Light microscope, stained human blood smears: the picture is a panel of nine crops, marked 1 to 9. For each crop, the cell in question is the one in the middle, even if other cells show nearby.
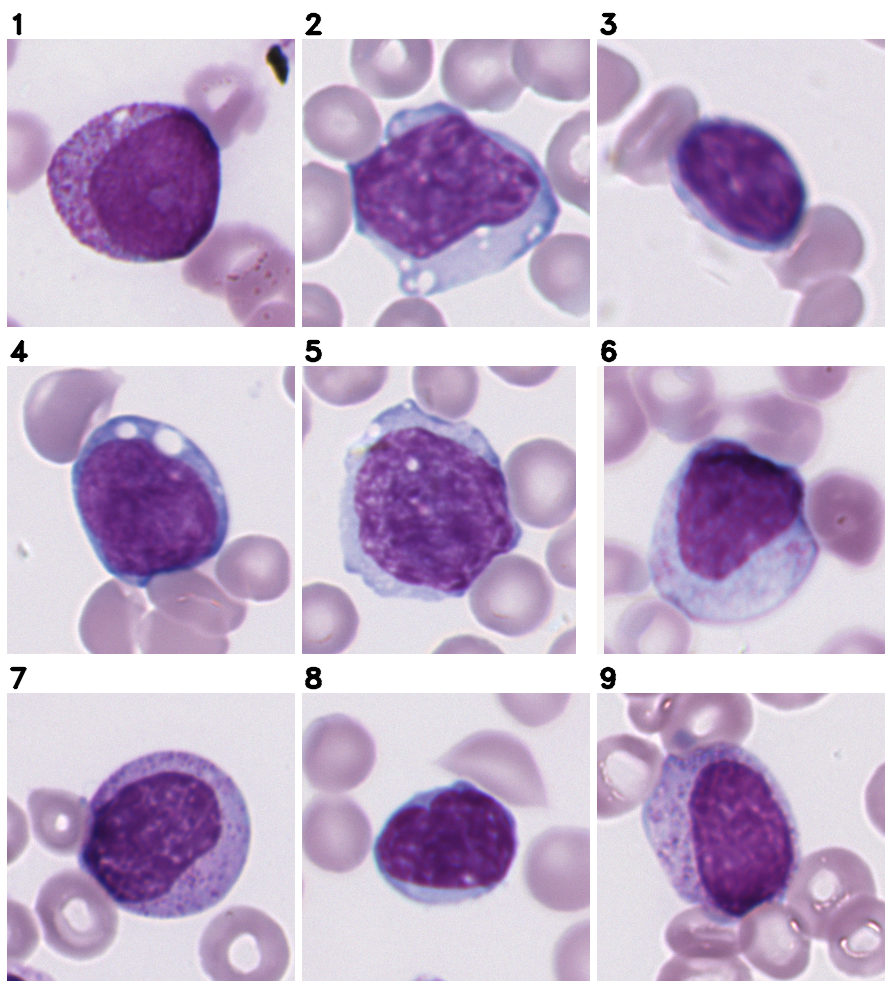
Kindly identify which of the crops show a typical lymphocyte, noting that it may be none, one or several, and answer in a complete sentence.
The only crop with a typical lymphocyte at its center is crop 8.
